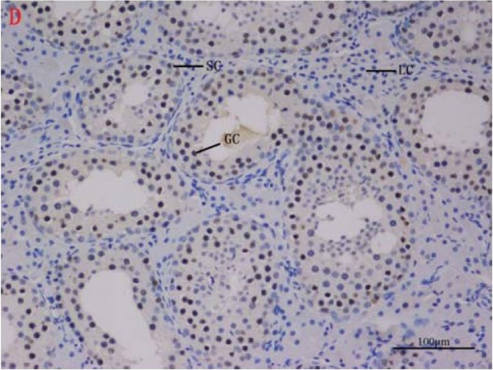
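This is testis tissue in which tubules lined by germ cells and Sertoli cells are separated by interstitial tissue containing Leydig cells. The tubules are rounded and many have an open, pale central lumen. Several layers of round nuclei line each tubule, and a large share of them are stained dark brown. The interstitial spaces between tubules hold smaller cells with blue-stained nuclei.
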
